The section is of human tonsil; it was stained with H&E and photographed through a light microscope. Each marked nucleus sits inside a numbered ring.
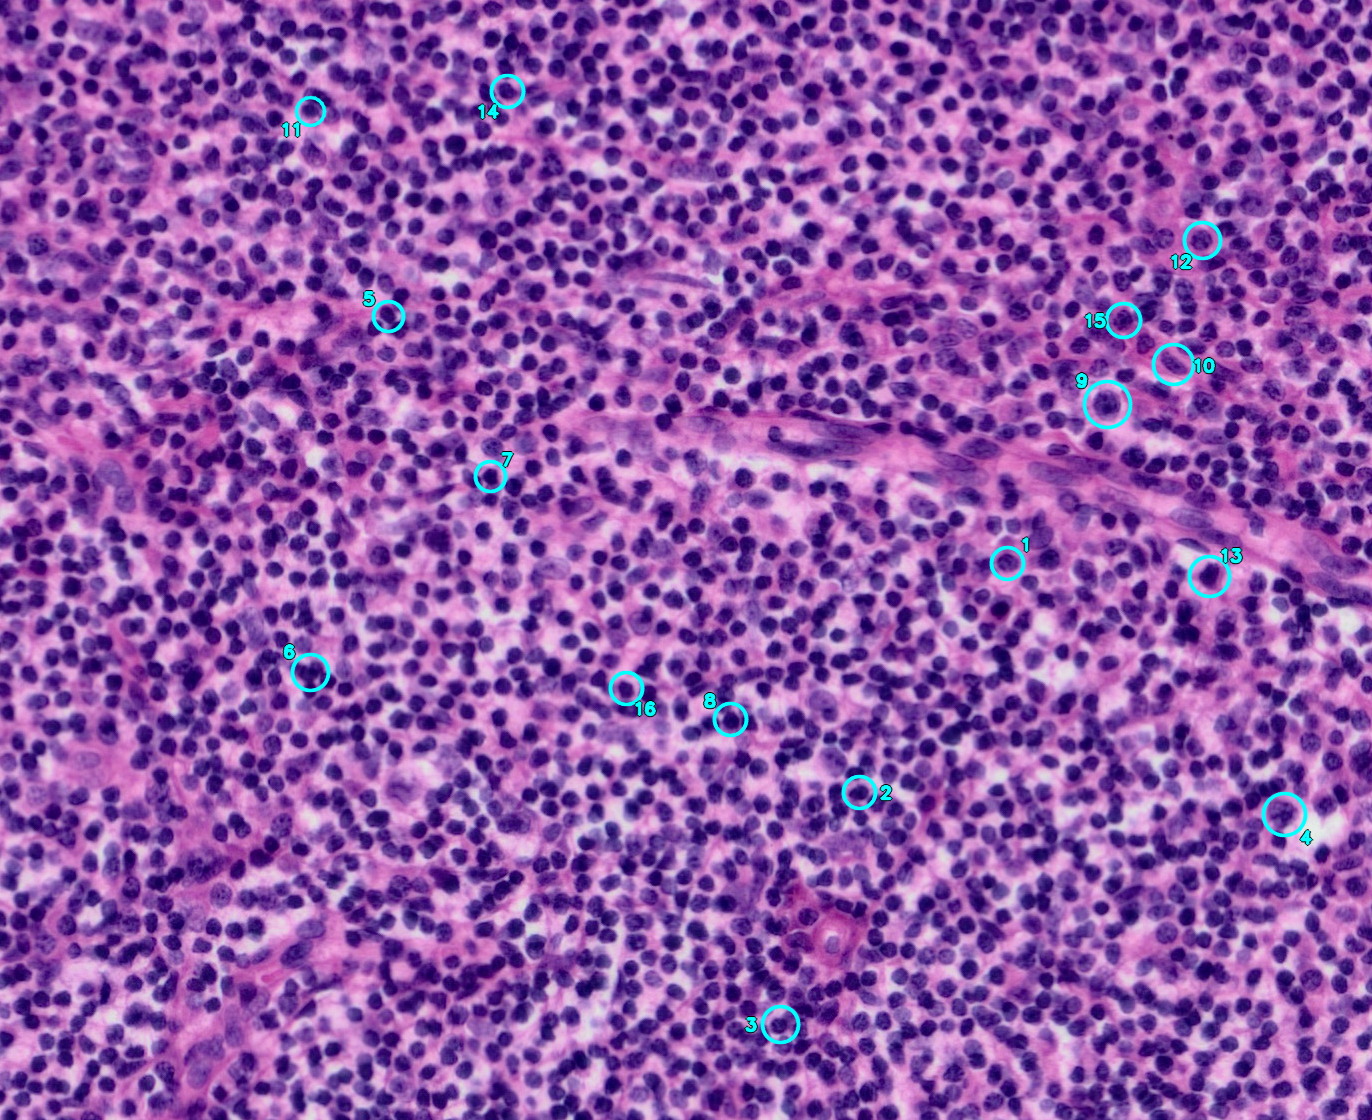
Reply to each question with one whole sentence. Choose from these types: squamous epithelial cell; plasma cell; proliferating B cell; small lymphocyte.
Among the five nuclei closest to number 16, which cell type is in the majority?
Small lymphocytes account for more than half of the five nuclei nearest to number 16.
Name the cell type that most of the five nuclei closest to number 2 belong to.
Small lymphocytes account for more than half of the five nuclei nearest to number 2.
